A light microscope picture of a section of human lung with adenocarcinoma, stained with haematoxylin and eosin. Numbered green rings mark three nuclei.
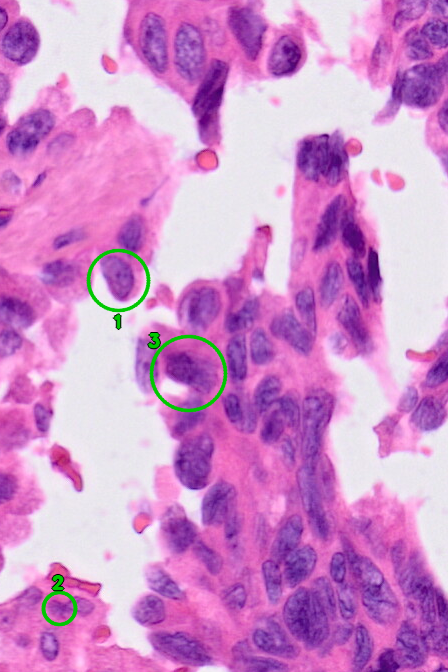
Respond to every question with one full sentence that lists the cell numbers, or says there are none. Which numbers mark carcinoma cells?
The cells marked by the numbers 1 and 3 are carcinoma cells.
